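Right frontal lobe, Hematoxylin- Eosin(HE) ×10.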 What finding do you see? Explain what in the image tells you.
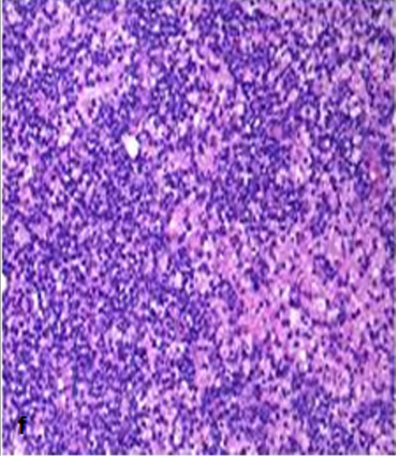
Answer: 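Diffuse, densely packed sheets of cells fill the whole field. The cells have round, darkly stained purple nuclei with scant cytoplasm. There is no organised normal tissue architecture. On this evidence: lymphoma.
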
